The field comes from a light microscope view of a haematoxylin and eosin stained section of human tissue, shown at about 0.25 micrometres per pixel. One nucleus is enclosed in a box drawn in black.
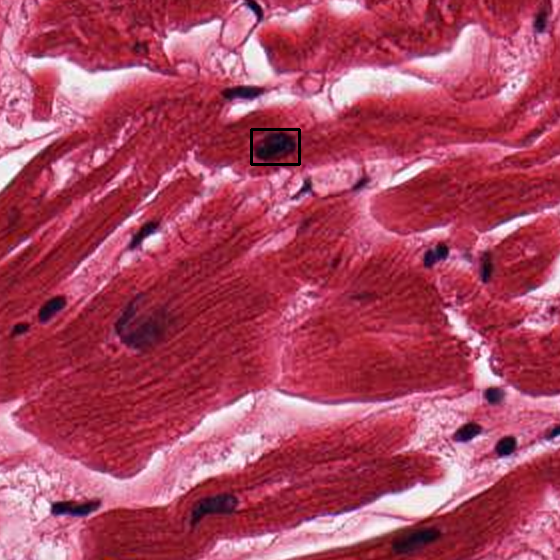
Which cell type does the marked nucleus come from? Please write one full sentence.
To a cardiomyocyte belongs the marked nucleus.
